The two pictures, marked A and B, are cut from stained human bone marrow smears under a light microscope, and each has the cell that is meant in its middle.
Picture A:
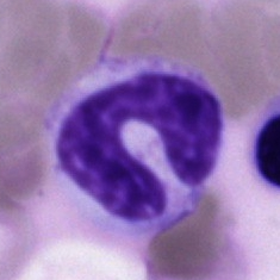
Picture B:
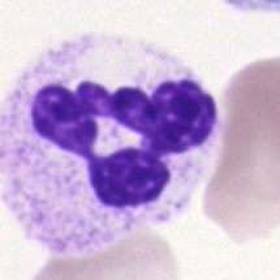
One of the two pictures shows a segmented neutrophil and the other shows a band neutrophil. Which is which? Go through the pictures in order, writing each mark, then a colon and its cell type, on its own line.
A: band neutrophil
B: segmented neutrophil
